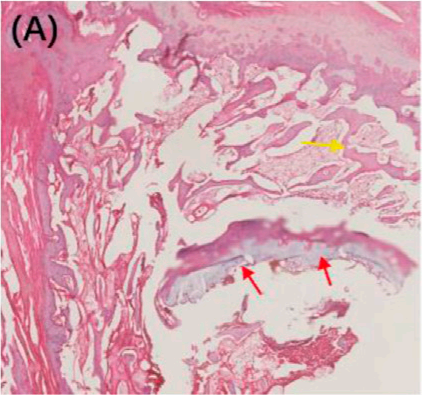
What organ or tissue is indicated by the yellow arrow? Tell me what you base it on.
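The arrow points into a meshwork of thin pink bony struts separated by spaces. The struts branch and interconnect.
Conclusion: trabecular bone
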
